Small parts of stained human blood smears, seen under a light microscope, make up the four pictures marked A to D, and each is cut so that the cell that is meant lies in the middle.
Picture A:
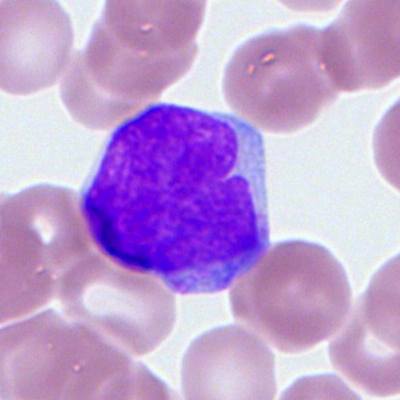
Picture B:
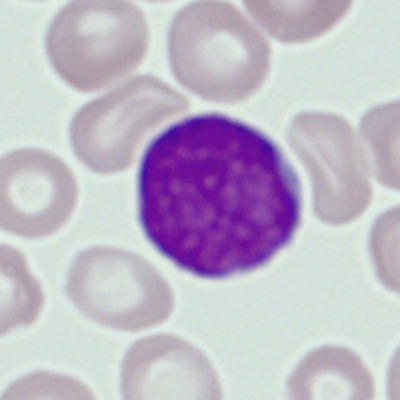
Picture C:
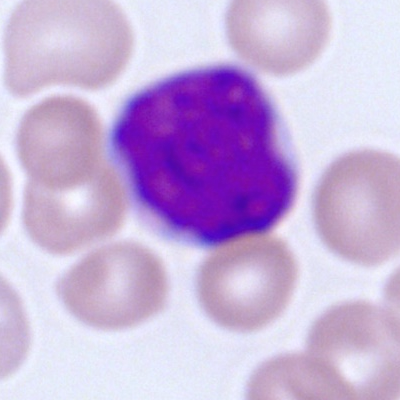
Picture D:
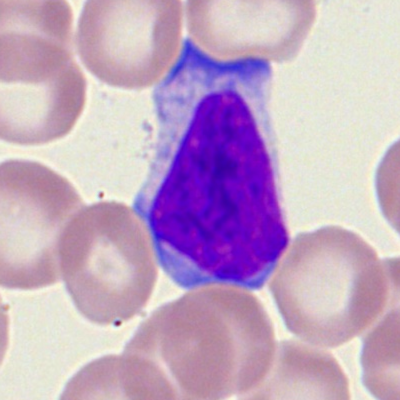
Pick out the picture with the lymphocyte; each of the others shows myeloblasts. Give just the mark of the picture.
D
